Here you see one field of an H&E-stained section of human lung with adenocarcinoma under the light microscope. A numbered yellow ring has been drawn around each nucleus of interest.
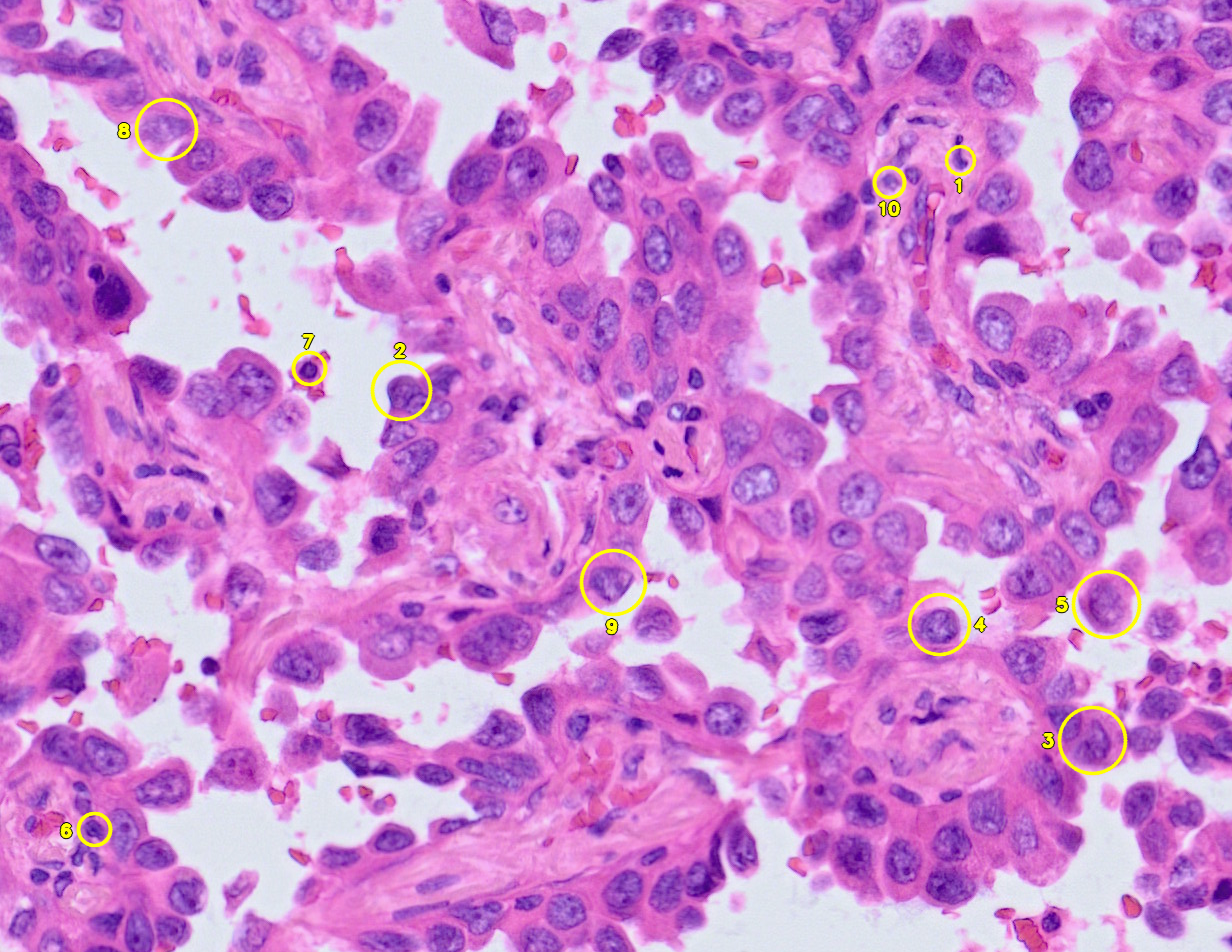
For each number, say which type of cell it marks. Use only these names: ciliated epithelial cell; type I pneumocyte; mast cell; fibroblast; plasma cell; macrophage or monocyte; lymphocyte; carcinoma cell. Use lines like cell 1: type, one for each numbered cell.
cell 1: lymphocyte
cell 2: carcinoma cell
cell 3: carcinoma cell
cell 4: carcinoma cell
cell 5: carcinoma cell
cell 6: lymphocyte
cell 7: lymphocyte
cell 8: carcinoma cell
cell 9: carcinoma cell
cell 10: lymphocyte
